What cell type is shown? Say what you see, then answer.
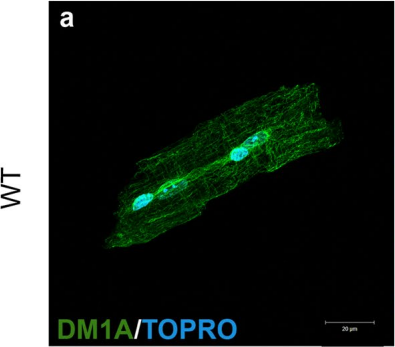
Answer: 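A single large elongated rod-shaped cell with squared-off ends. More than one blue nucleus lying in the middle of the cell. Dense green filament network running along the cell's length.
Answer: Cardiomyocytes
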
